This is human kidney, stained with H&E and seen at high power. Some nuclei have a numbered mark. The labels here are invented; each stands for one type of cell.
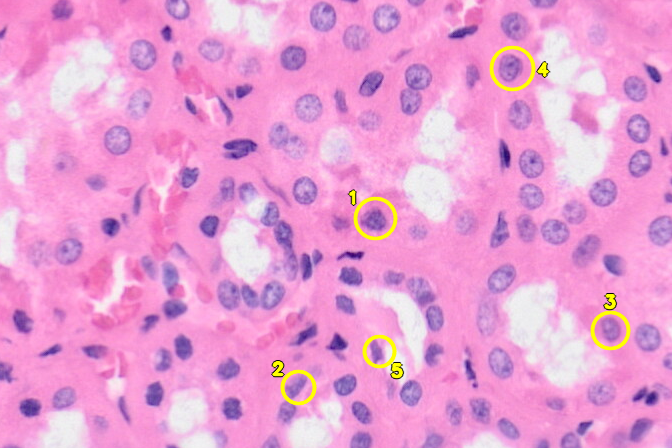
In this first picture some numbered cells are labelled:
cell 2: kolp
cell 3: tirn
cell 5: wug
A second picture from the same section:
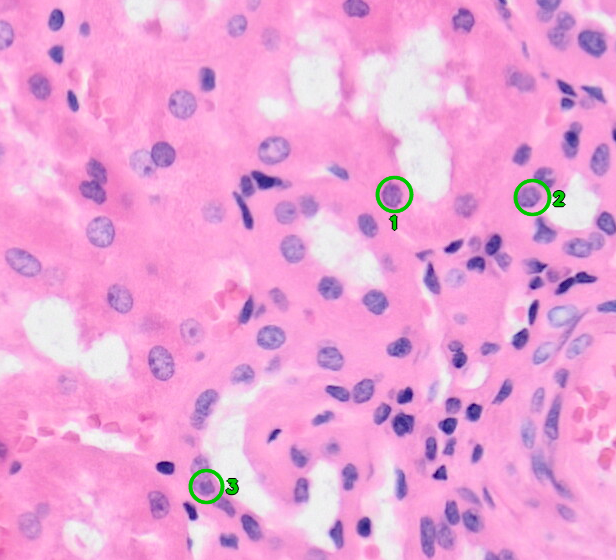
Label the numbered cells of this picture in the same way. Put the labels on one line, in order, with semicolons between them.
tirn; kolp; kolp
